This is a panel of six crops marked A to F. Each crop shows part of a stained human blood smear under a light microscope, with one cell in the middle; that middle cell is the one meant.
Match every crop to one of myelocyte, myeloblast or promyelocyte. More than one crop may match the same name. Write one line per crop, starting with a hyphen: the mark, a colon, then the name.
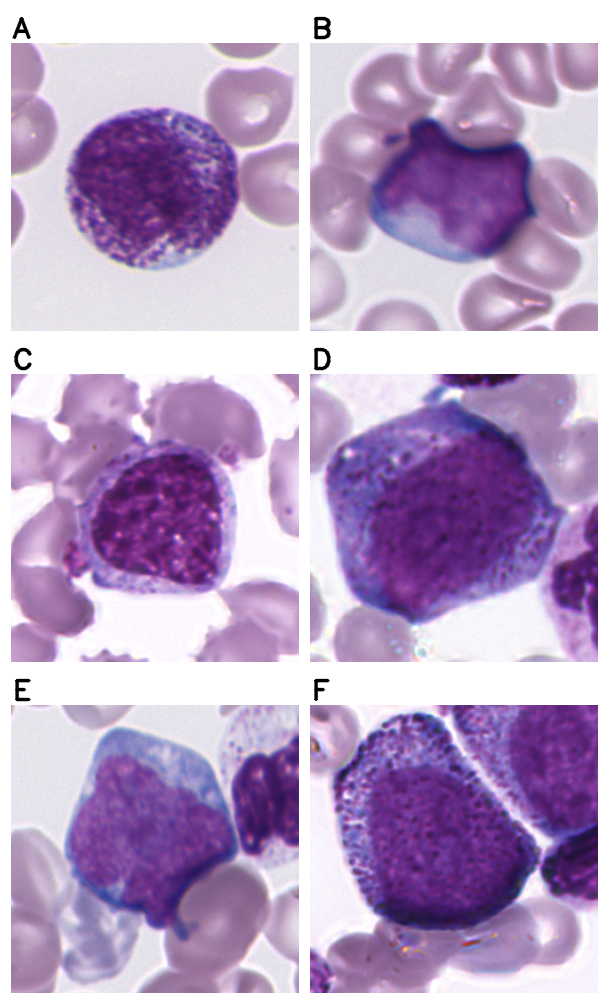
- A: myelocyte
- B: myeloblast
- C: myelocyte
- D: promyelocyte
- E: myeloblast
- F: promyelocyte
